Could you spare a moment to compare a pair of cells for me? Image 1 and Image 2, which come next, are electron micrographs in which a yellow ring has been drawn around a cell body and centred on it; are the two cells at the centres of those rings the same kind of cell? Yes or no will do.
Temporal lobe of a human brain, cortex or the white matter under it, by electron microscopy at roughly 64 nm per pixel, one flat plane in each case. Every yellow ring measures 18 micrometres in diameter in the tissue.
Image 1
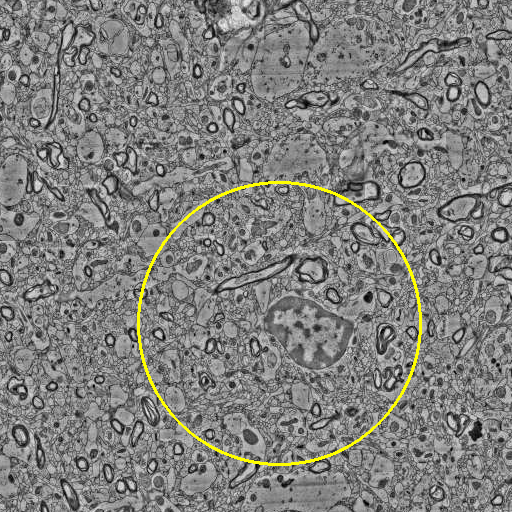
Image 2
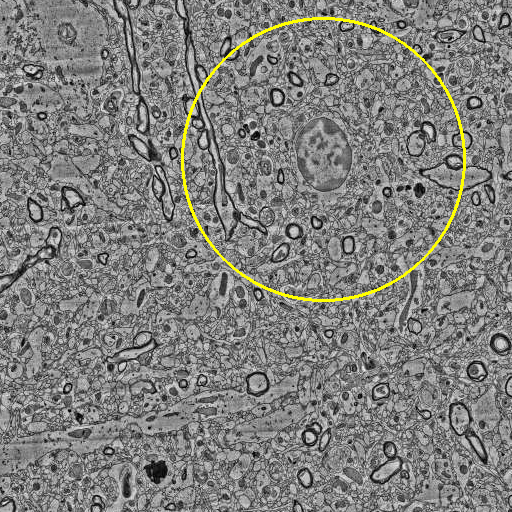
yes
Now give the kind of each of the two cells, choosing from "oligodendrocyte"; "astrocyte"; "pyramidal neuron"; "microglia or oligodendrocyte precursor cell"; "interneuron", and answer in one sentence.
In both pictures the ring is centred on a microglial cell or oligodendrocyte precursor cell.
